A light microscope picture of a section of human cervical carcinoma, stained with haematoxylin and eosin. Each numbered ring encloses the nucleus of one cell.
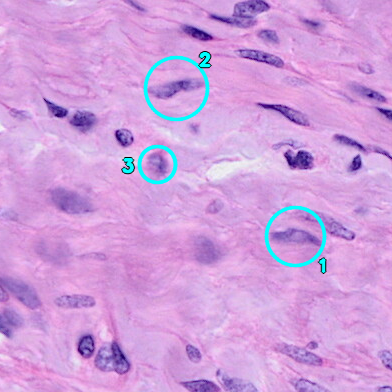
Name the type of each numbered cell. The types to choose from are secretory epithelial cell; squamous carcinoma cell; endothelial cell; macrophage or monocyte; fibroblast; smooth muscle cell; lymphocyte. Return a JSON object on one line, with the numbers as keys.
{"1": "fibroblast", "2": "fibroblast", "3": "endothelial cell"}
